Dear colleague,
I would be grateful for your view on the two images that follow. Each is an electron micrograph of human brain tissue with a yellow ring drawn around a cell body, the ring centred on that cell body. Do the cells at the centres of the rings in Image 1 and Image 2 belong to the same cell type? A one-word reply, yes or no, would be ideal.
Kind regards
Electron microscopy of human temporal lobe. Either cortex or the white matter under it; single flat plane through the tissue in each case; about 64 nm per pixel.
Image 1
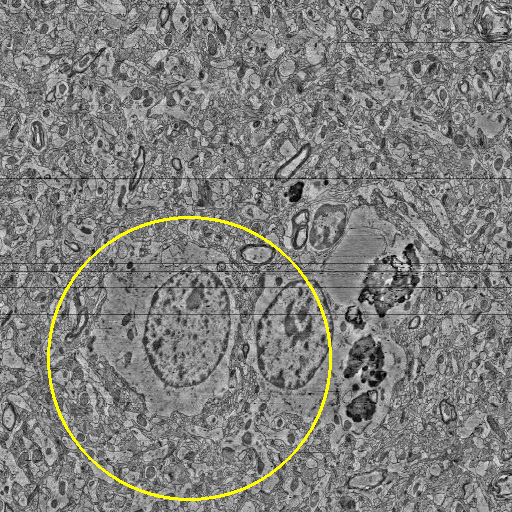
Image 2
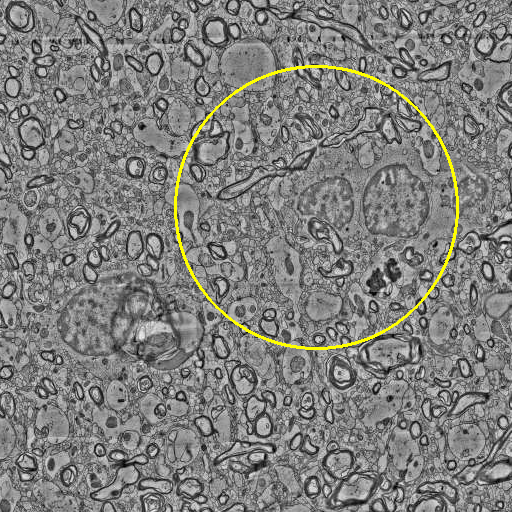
no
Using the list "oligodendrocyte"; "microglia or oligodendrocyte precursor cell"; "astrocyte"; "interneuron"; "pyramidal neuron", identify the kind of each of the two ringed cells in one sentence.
The first is an astrocyte and the second is an oligodendrocyte.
